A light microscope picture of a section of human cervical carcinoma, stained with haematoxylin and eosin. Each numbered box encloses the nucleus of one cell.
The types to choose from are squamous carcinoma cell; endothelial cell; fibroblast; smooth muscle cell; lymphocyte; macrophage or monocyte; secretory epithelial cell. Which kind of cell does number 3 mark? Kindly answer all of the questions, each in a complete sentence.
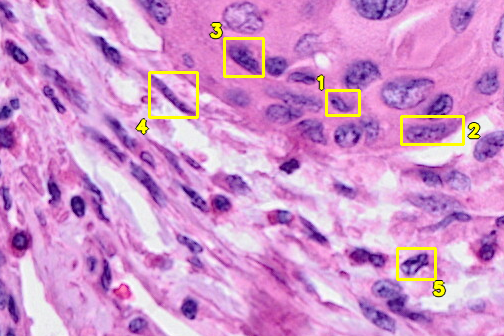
The cell that bears the number 3 is a squamous carcinoma cell.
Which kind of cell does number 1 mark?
Recognised here as a squamous carcinoma cell is the cell numbered 1.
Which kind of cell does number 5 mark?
Marked with the number 5, this cell is a lymphocyte.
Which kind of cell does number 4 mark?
What the number 4 marks in this field is a fibroblast.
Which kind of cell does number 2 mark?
That cell with number 2 is a squamous carcinoma cell.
